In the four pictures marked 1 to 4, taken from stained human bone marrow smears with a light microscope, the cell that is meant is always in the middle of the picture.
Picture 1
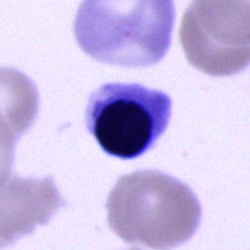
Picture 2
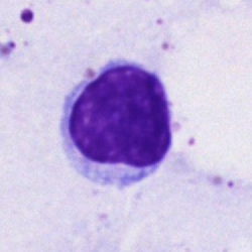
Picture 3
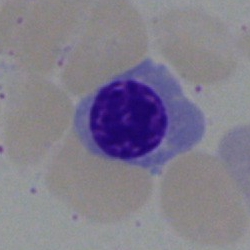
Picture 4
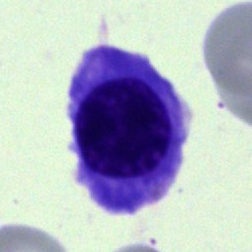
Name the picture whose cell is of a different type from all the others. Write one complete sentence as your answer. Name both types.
Unlike the rest, which show erythroblasts, picture 2 shows a lymphocyte.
